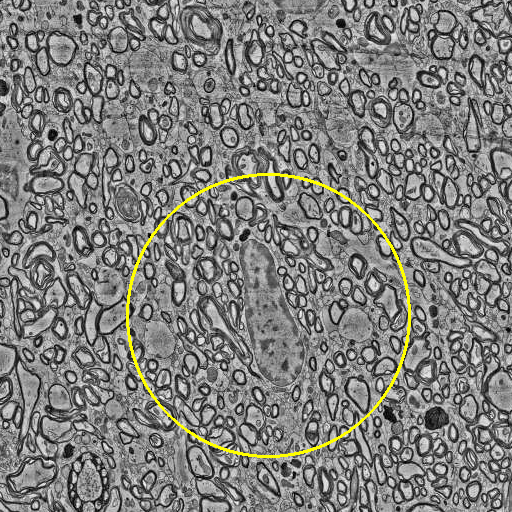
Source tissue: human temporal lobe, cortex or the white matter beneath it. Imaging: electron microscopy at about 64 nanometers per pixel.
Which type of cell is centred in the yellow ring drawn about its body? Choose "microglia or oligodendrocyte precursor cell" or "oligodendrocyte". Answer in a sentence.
The yellow ring surrounds the cell body of a microglial cell or oligodendrocyte precursor cell.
